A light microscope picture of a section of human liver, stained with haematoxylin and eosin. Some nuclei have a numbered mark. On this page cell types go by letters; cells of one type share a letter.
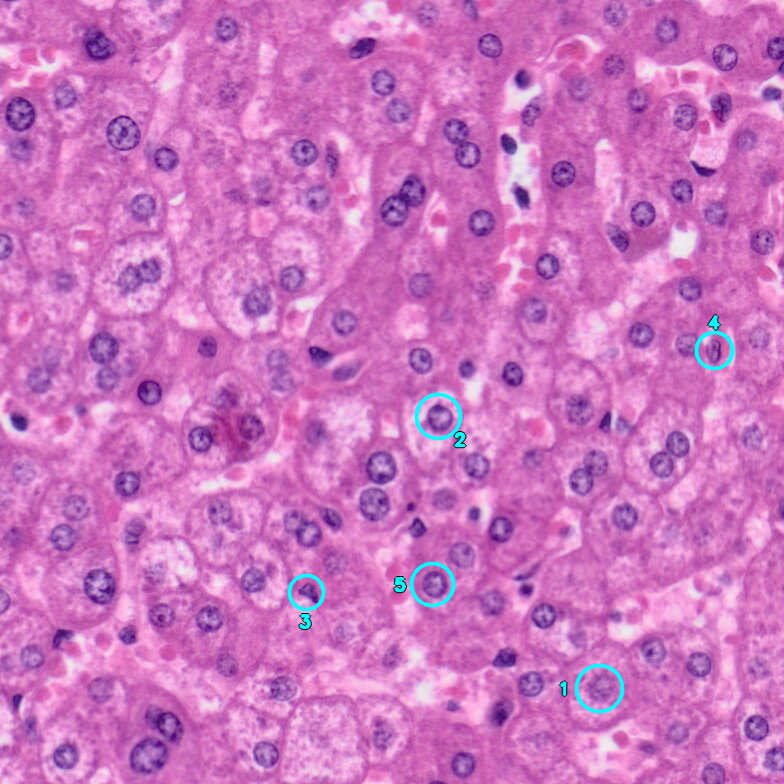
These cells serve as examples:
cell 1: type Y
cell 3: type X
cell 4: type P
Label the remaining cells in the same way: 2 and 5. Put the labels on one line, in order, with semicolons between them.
type Y; type Y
